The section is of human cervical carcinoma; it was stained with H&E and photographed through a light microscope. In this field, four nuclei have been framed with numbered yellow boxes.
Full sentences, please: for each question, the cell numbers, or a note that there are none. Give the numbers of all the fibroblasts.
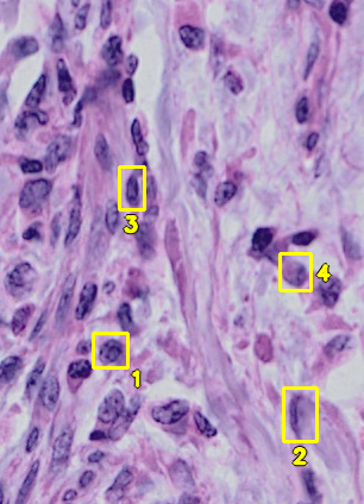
Only one of the numbered nuclei, number 2, belongs to a fibroblast.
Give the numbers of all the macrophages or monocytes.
Only the cell carrying number 4 is a macrophage or monocyte.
